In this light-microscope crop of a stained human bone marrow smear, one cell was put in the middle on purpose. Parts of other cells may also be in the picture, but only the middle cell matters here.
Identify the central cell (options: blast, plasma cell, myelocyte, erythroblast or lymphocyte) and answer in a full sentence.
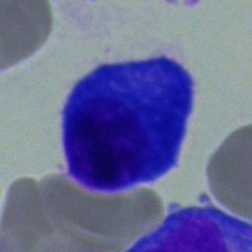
Looking at the middle of the crop, the cell there is a plasma cell.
